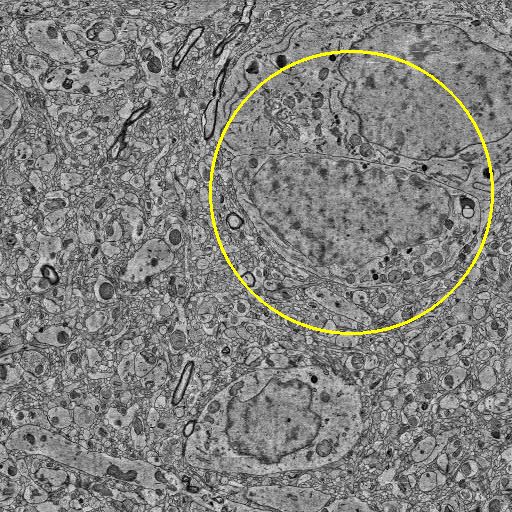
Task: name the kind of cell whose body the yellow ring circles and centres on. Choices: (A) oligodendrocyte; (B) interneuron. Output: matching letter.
B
